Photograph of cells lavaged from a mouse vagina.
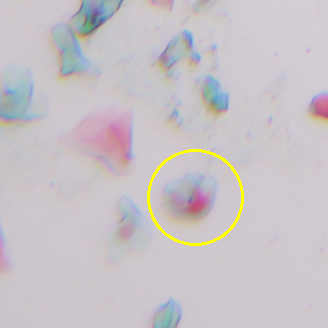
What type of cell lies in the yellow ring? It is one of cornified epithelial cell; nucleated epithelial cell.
The ringed cell is a nucleated epithelial cell.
